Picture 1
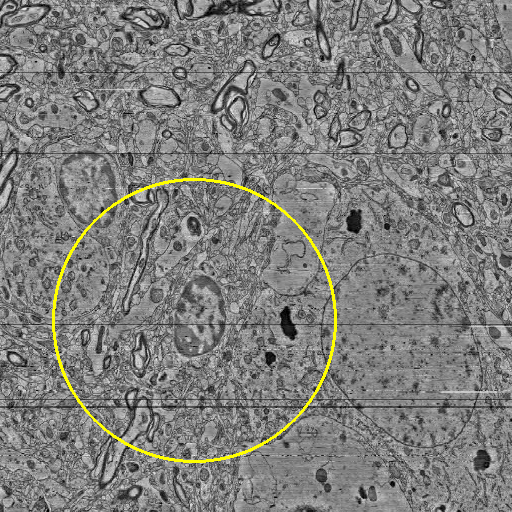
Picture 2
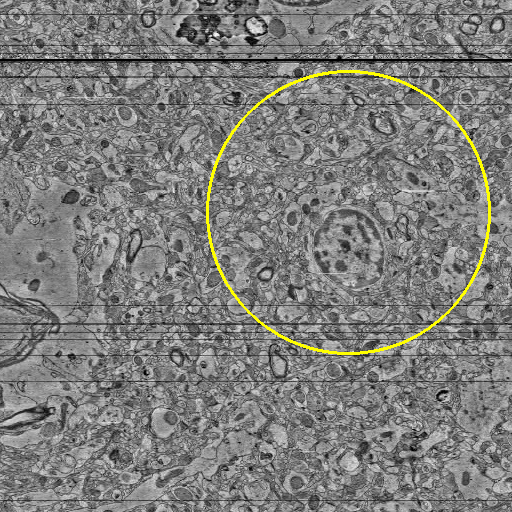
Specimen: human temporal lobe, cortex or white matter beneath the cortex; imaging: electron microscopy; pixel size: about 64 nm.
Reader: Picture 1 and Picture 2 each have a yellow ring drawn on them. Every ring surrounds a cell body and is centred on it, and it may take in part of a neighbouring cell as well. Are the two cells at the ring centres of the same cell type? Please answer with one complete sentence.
Yes, both cells are of the same cell type.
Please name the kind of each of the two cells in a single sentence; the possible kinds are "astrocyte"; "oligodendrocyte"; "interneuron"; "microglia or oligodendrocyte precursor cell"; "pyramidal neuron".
Each of the two rings is centred on a microglial cell or oligodendrocyte precursor cell.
